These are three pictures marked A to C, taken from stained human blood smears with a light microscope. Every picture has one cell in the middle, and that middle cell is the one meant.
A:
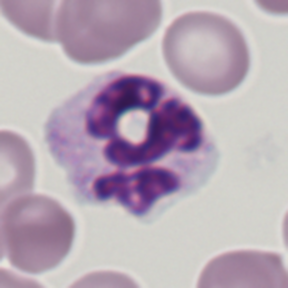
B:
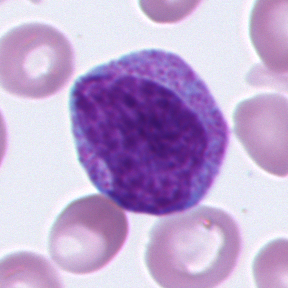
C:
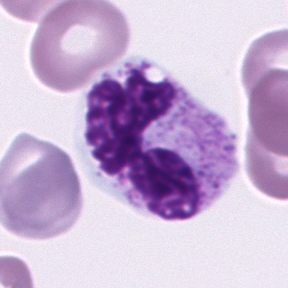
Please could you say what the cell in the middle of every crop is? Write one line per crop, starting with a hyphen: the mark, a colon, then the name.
- A: segmented neutrophil
- B: atypical promyelocyte
- C: segmented neutrophil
